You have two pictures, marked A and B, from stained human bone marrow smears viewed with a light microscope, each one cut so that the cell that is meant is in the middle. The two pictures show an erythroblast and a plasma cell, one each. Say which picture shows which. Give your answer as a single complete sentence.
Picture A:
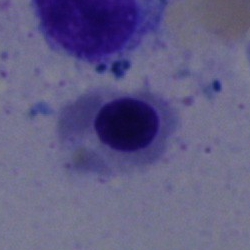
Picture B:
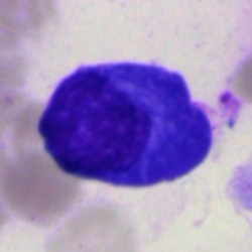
In picture A the cell is an erythroblast; in picture B, a plasma cell.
